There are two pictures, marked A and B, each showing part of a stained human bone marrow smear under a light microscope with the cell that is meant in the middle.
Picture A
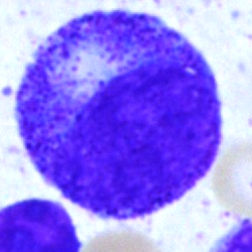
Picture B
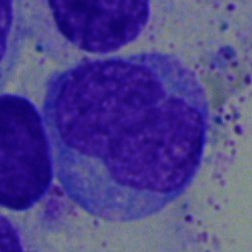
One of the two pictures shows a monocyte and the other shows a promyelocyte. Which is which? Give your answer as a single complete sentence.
The cell in picture A is a promyelocyte, and the one in picture B is a monocyte.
